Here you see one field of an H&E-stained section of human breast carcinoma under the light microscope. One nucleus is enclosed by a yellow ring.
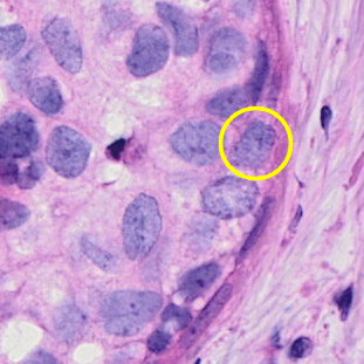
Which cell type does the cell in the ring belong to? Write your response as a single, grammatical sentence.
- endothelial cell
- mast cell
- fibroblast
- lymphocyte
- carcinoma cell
As to its cell type, the cell in the ring is a carcinoma cell.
